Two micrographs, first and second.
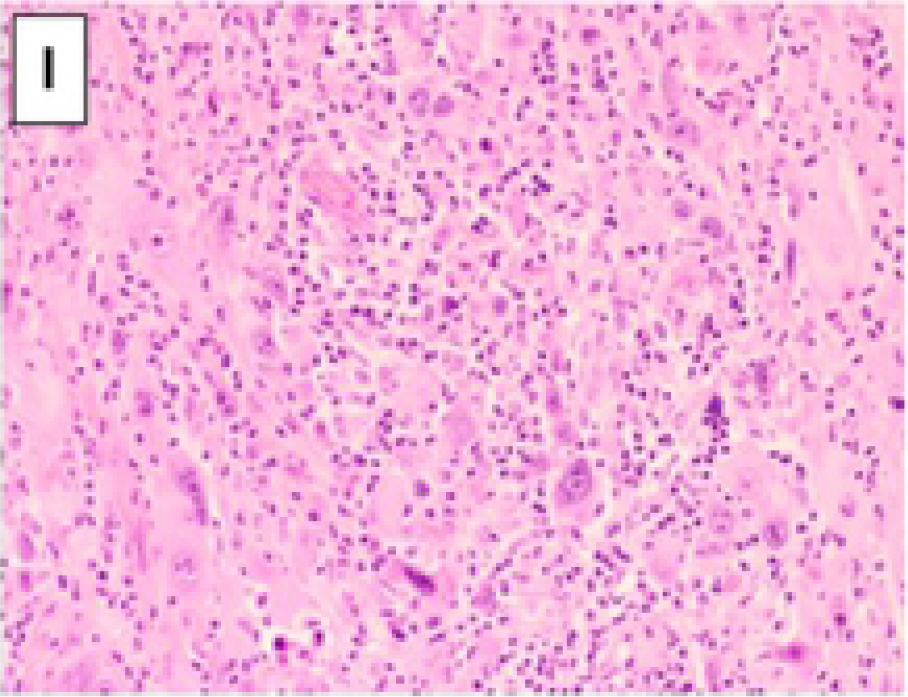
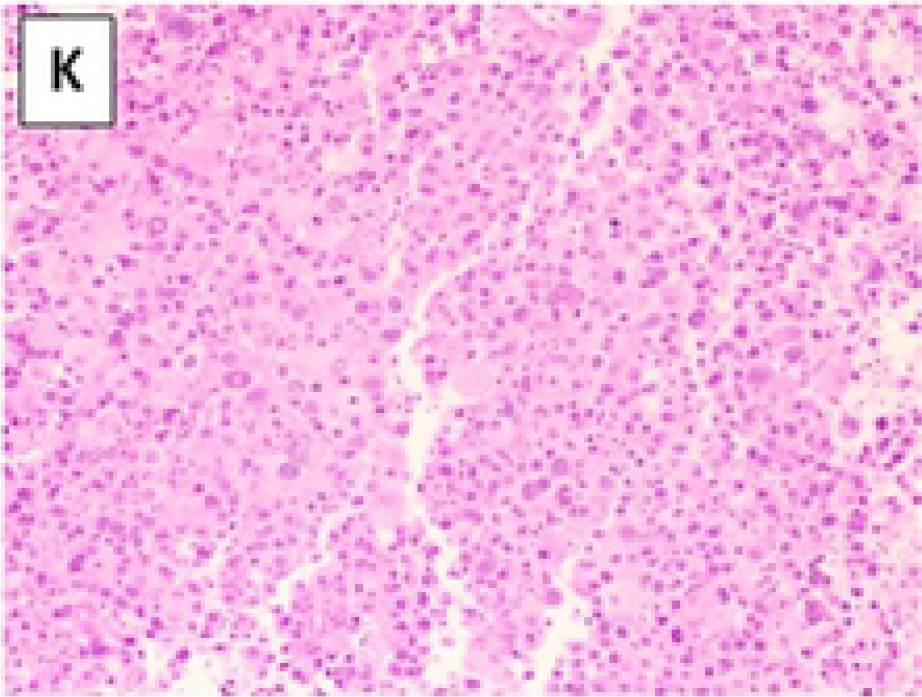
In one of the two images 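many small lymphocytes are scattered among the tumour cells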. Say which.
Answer: The first image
